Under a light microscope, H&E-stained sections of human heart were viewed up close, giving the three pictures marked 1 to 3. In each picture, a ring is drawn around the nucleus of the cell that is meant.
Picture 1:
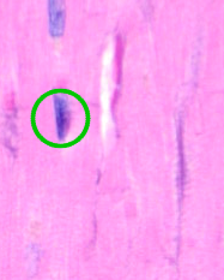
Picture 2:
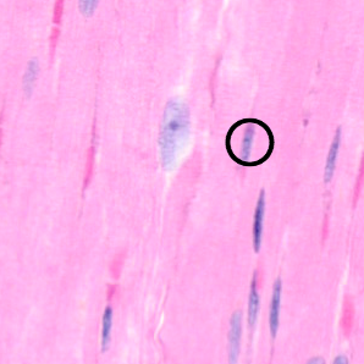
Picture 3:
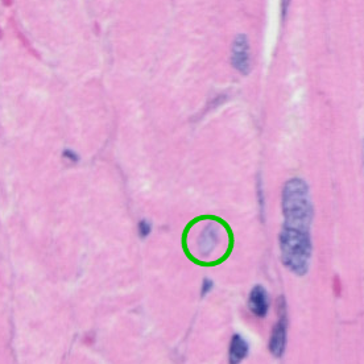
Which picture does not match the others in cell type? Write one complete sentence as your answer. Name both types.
Picture 3 is the odd one out: it shows a cardiomyocyte, while the others show endothelial cells.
